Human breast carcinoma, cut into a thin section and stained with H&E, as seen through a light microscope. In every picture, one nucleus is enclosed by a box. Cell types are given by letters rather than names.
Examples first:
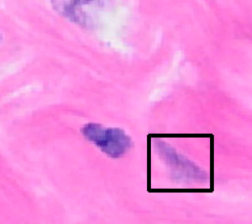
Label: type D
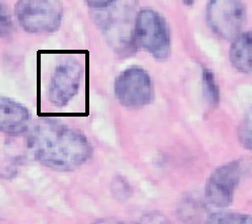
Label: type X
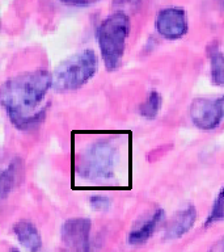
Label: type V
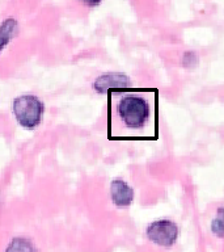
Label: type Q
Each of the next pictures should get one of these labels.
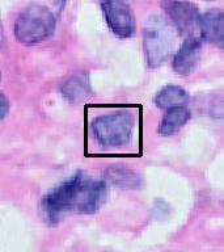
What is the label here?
type X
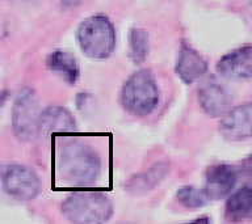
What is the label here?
type X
